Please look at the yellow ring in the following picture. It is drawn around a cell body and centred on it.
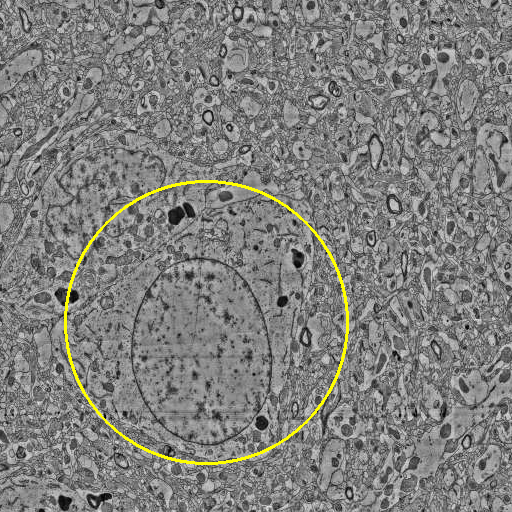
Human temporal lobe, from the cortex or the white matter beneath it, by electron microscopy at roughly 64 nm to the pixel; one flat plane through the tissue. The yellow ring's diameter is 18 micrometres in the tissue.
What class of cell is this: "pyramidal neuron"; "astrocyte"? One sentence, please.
The ring surrounds the cell body of a pyramidal neuron.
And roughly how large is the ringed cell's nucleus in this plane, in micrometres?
Approximately 12 micrometres long and 9 micrometres wide, in this plane.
